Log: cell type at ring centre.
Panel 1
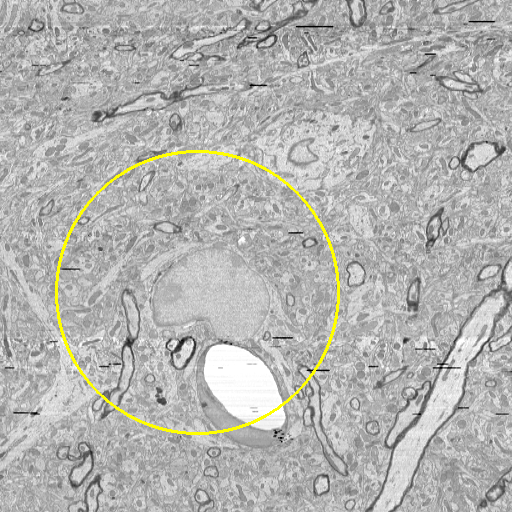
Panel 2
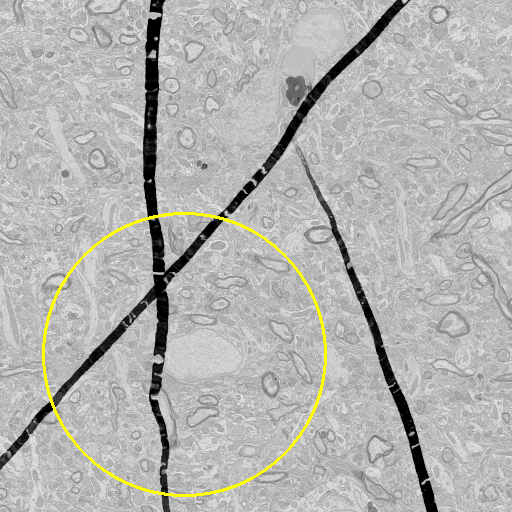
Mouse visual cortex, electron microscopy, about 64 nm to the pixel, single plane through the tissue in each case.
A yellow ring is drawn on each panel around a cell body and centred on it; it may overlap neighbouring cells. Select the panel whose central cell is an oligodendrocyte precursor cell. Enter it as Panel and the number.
Panel 2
